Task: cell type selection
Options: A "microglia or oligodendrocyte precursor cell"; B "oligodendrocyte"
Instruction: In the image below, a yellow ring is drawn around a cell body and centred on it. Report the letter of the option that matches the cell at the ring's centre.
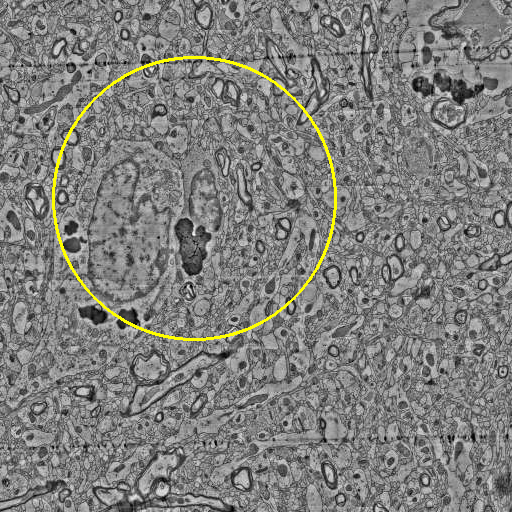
B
